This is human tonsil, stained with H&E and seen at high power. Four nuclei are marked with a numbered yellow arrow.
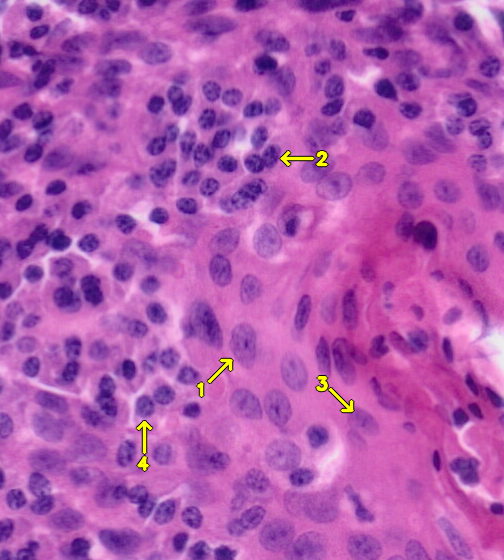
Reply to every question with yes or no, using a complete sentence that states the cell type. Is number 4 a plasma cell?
Yes, number 4 is assigned to a cell that is a plasma cell.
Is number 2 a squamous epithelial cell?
No, it's not a squamous epithelial cell at number 2; that cell is a plasma cell.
